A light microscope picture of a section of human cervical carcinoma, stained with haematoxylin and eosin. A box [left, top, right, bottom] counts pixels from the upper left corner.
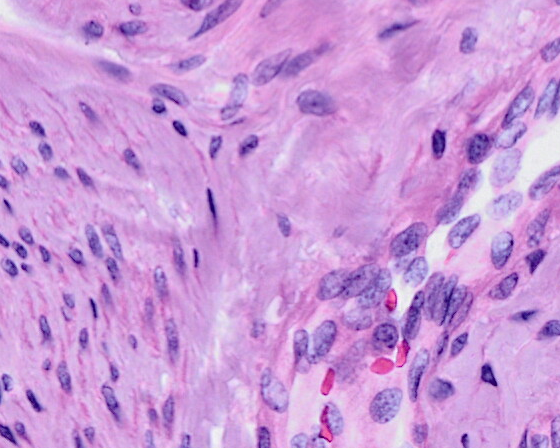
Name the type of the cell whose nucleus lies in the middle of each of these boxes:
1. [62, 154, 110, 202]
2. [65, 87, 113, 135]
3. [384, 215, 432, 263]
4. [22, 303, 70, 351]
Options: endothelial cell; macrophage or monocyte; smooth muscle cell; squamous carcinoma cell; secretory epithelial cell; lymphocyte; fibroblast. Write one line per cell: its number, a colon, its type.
1: smooth muscle cell
2: smooth muscle cell
3: endothelial cell
4: smooth muscle cell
